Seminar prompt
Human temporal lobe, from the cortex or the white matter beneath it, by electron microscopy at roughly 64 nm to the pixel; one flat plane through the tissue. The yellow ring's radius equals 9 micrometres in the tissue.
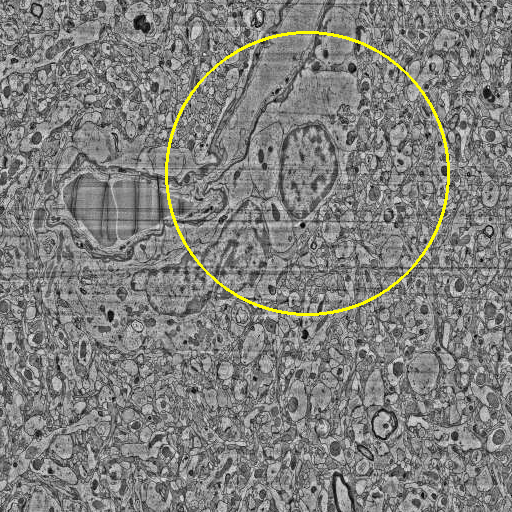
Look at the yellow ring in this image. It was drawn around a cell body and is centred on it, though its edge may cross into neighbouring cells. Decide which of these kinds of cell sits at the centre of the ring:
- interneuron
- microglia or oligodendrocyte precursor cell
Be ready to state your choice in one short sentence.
The kind of cell at the ring's centre is a microglial cell or oligodendrocyte precursor cell.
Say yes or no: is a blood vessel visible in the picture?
Yes.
